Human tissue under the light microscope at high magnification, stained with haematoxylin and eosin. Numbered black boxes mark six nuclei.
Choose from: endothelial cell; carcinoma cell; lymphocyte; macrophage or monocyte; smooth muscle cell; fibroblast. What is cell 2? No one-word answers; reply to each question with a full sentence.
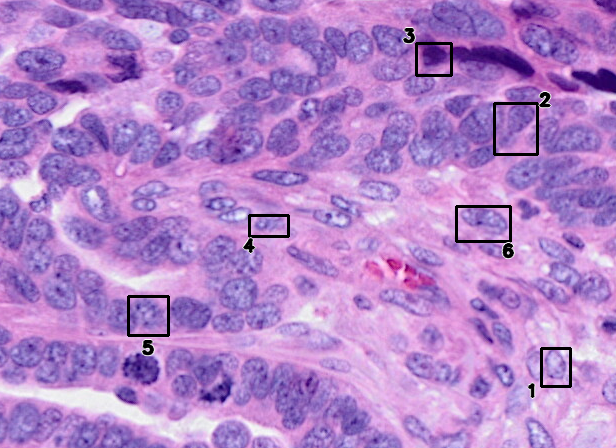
The cell bearing label 2 corresponds to a carcinoma cell.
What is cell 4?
The cell referred to as 4 is a fibroblast.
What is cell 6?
Cell 6, as marked in the section, is a fibroblast.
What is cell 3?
Classified as a carcinoma cell is the cell with the number 3.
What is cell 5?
The cell numbered 5 represents a carcinoma cell.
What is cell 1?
The cell assigned the number 1 is a fibroblast.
